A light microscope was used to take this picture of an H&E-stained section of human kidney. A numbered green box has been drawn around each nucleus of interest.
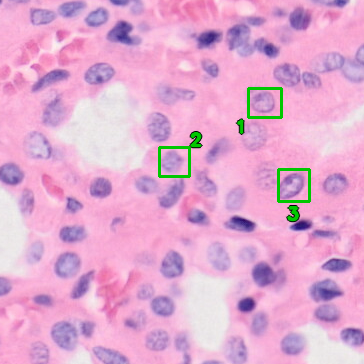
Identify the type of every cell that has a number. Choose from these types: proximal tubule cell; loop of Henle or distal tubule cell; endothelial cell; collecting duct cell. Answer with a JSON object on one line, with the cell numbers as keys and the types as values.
{"1": "proximal tubule cell", "2": "loop of Henle or distal tubule cell", "3": "proximal tubule cell"}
